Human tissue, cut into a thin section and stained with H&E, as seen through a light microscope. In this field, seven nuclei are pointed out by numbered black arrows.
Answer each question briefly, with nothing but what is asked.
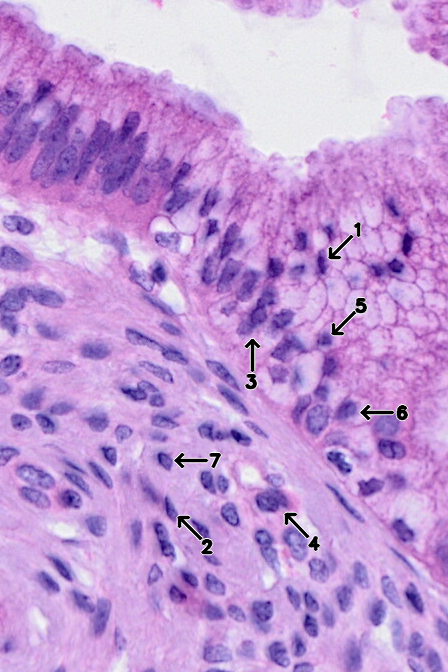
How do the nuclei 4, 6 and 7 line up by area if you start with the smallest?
7, 6, 4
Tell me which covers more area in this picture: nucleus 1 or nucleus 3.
3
